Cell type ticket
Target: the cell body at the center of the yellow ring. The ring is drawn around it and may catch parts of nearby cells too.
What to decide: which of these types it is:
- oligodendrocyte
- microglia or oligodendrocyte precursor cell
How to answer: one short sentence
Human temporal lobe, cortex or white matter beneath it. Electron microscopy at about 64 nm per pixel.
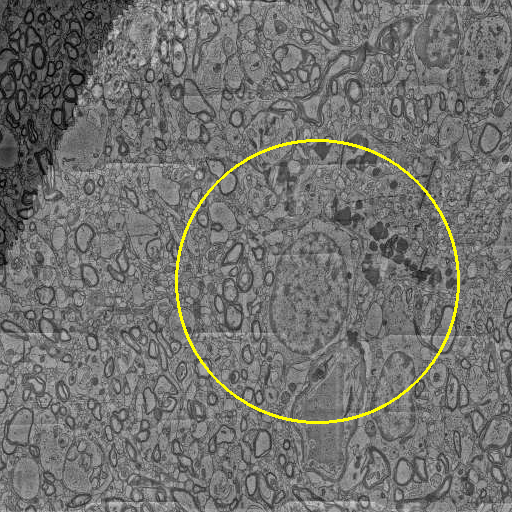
The cell at the center of the ring is an oligodendrocyte.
